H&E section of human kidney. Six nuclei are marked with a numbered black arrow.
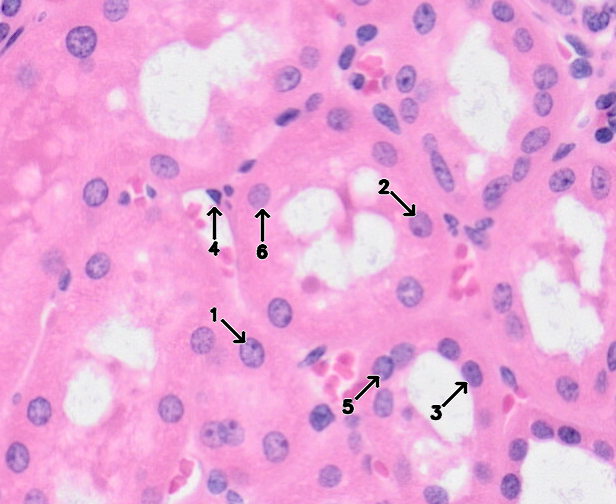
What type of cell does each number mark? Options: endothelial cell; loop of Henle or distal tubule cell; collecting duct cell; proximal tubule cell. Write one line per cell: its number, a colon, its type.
1: proximal tubule cell
2: proximal tubule cell
3: loop of Henle or distal tubule cell
4: endothelial cell
5: loop of Henle or distal tubule cell
6: proximal tubule cell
